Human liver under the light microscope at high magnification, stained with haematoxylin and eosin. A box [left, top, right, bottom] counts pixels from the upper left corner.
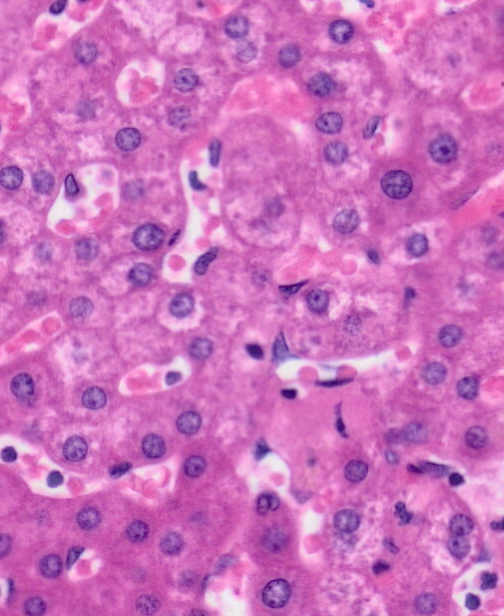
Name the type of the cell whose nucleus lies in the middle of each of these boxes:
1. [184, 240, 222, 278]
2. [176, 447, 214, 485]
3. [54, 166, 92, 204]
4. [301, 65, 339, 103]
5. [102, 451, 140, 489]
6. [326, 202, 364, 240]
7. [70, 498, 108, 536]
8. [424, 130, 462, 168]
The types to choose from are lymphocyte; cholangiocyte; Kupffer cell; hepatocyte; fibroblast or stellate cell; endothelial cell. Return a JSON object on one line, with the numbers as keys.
{"1": "Kupffer cell", "2": "hepatocyte", "3": "Kupffer cell", "4": "hepatocyte", "5": "fibroblast or stellate cell", "6": "hepatocyte", "7": "hepatocyte", "8": "hepatocyte"}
